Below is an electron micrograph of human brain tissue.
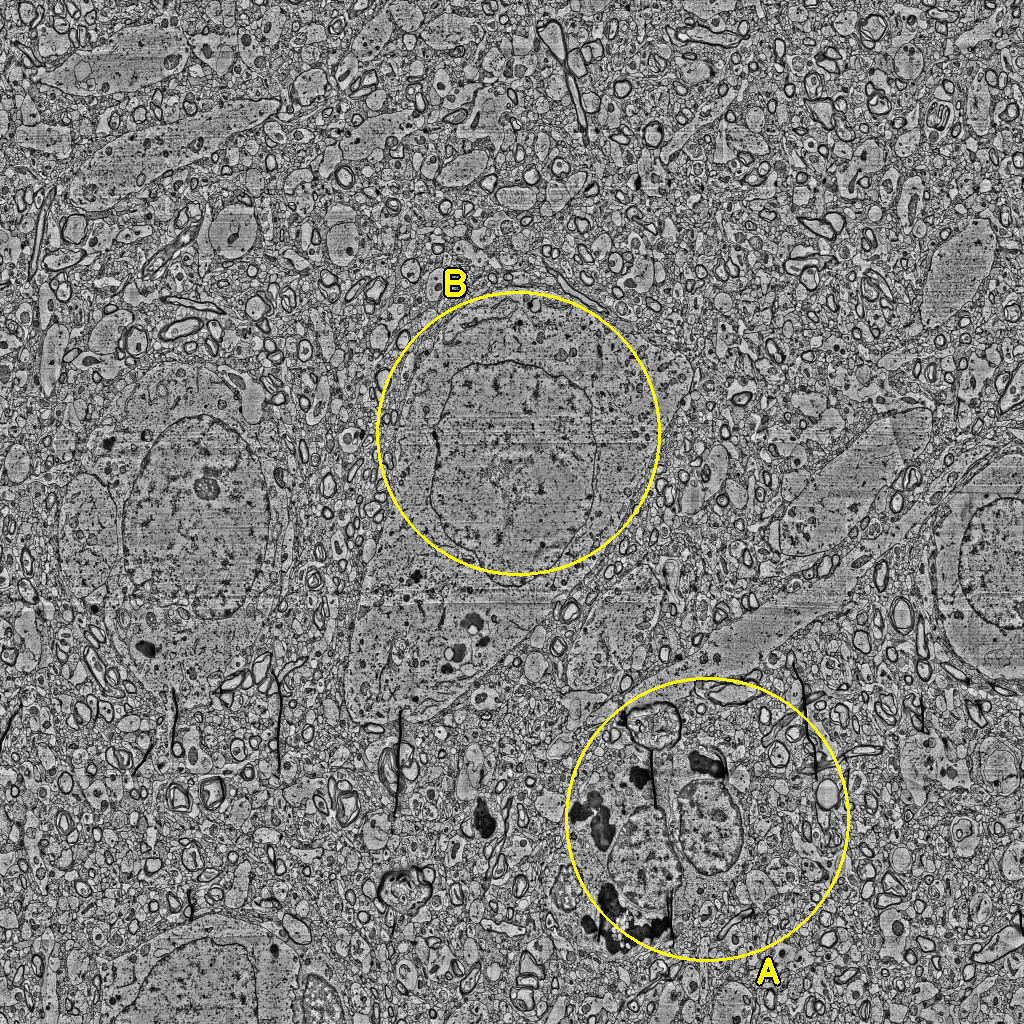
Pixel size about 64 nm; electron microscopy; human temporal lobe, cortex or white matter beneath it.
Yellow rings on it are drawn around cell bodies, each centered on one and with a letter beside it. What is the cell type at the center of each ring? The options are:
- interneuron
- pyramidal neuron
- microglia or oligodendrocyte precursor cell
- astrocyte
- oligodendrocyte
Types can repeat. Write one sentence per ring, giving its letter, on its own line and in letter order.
At the center of ring A is an oligodendrocyte.
At the center of ring B is a pyramidal neuron.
